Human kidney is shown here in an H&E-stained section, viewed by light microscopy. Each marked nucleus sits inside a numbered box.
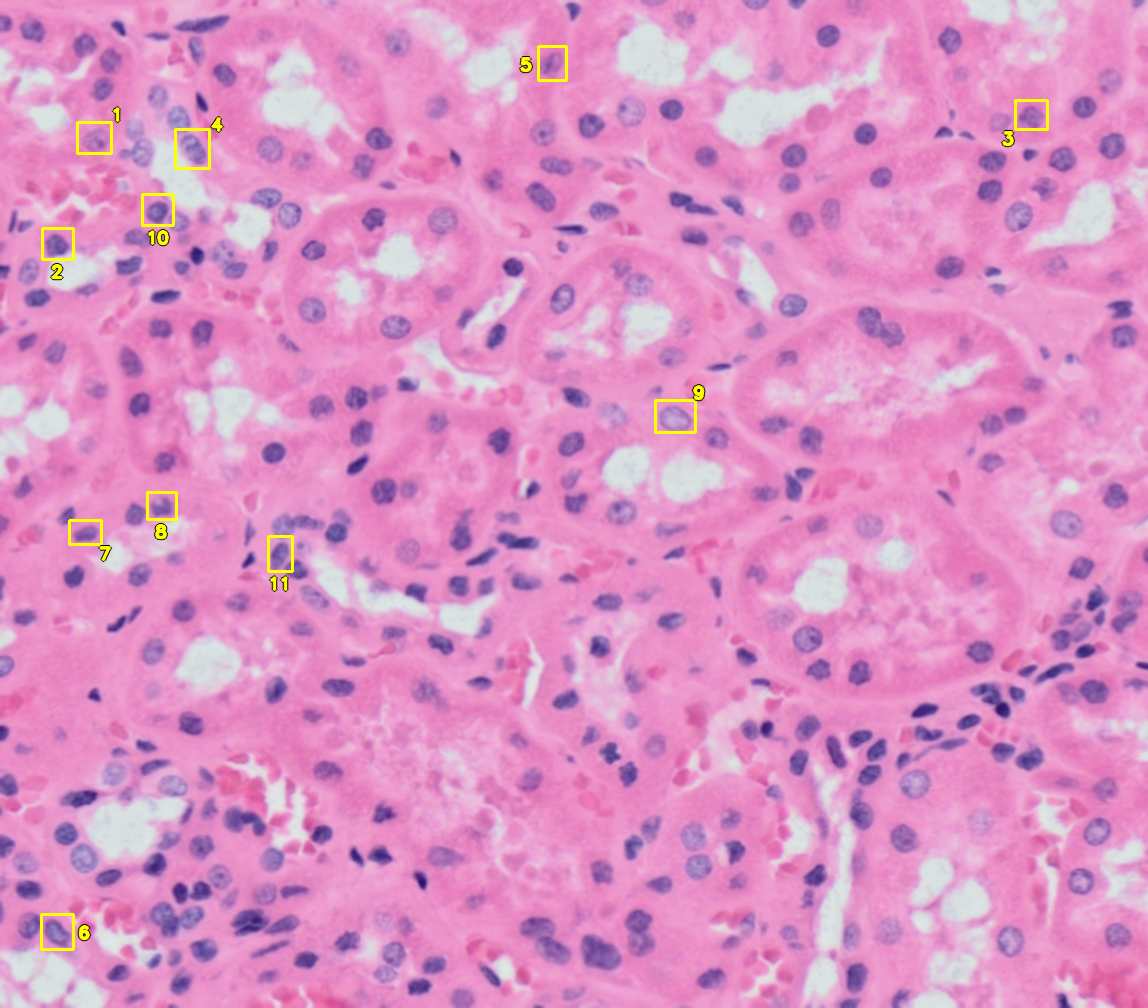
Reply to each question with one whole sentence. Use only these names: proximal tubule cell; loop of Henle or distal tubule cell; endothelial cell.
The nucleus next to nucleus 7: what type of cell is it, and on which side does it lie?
The nearest one is an endothelial cell, found above and to the left of nucleus 7.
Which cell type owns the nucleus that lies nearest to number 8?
The nucleus nearest to number 8 is that of a loop of Henle or distal tubule cell.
